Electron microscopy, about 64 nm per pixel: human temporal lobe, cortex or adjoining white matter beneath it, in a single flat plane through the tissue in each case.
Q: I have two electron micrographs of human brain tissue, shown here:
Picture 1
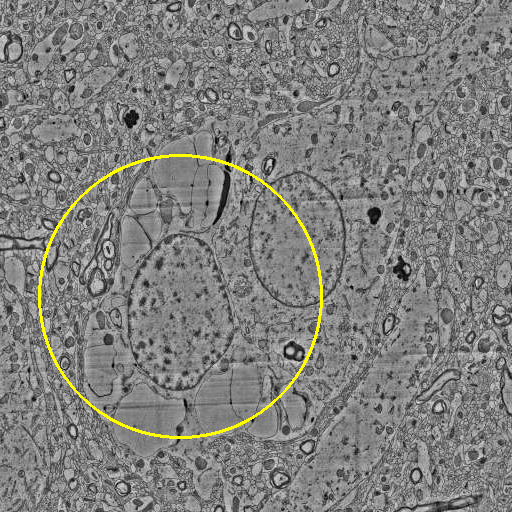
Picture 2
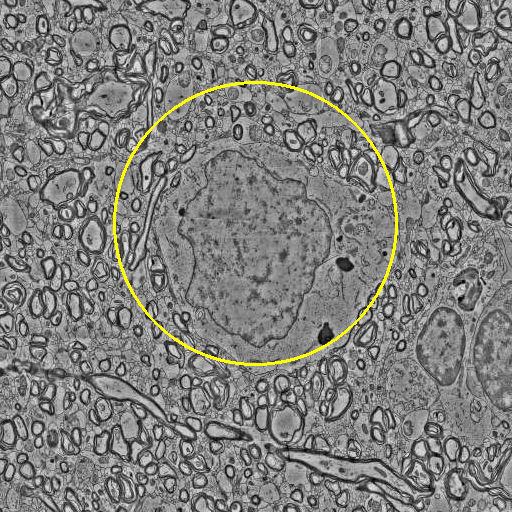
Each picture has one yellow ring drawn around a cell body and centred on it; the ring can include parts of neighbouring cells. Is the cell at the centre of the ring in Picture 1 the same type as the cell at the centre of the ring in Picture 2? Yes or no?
no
